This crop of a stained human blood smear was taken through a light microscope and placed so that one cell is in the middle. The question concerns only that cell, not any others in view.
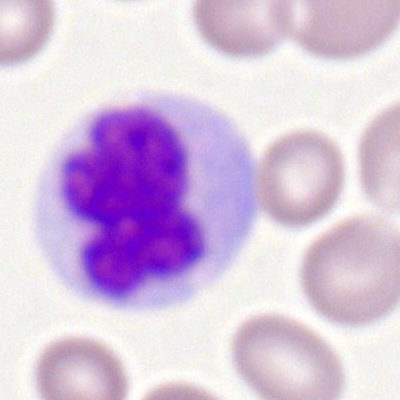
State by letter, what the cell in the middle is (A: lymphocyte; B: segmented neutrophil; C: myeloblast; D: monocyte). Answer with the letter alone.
D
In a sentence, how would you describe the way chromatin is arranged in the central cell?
Just so you know, its chromatin is coarsely clumped.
